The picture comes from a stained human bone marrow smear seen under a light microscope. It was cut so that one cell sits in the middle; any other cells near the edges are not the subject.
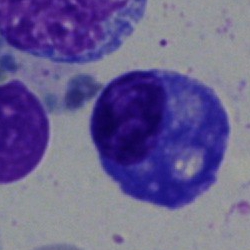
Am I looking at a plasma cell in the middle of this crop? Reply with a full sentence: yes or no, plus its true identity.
Yes, the middle cell is properly termed a plasma cell.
